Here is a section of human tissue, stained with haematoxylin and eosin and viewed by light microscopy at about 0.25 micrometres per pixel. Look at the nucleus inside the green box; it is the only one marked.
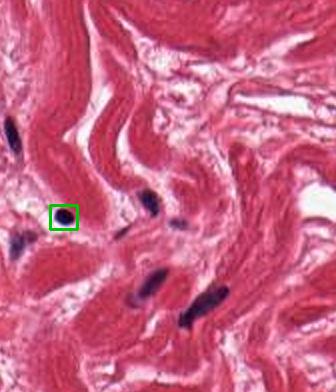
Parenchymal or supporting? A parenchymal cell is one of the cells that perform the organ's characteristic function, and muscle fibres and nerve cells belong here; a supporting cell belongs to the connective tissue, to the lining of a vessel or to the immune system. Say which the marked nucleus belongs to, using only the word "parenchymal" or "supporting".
supporting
